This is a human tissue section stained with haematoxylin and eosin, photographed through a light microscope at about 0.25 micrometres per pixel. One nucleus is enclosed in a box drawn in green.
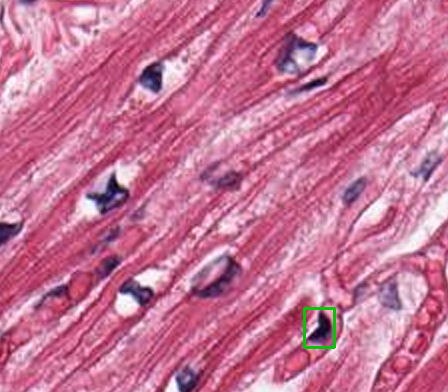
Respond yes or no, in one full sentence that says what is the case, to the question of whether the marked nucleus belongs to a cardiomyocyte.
No, instead of being part of a cardiomyocyte, the marked nucleus is part of a supporting cell.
